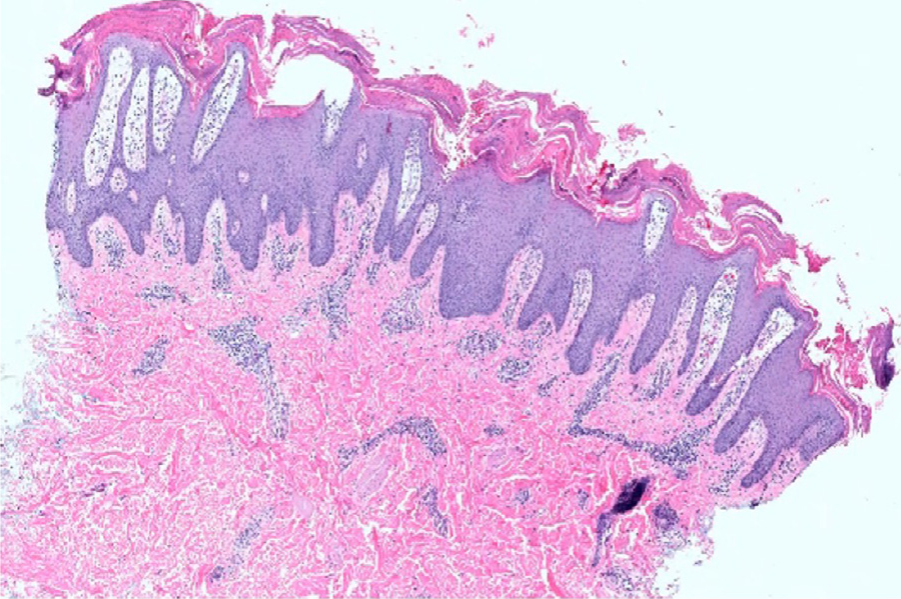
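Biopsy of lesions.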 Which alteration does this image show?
psoriasiform epidermal hyperplasia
